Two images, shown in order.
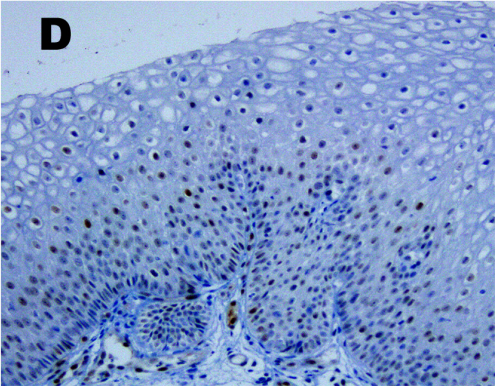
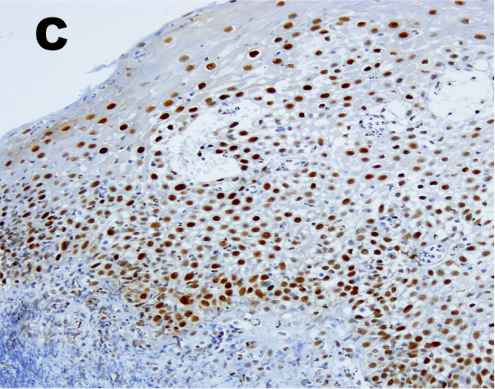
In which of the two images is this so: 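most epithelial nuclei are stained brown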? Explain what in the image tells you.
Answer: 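The second image. Second image: brown nuclei fill the epithelium through most of its thickness.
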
